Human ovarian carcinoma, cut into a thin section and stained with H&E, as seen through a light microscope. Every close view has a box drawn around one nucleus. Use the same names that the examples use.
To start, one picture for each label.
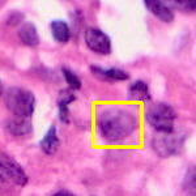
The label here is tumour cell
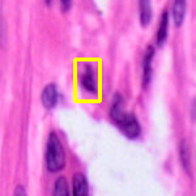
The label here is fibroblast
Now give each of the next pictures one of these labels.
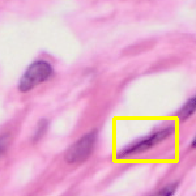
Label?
fibroblast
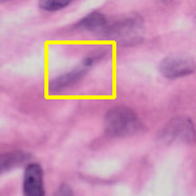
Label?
fibroblast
